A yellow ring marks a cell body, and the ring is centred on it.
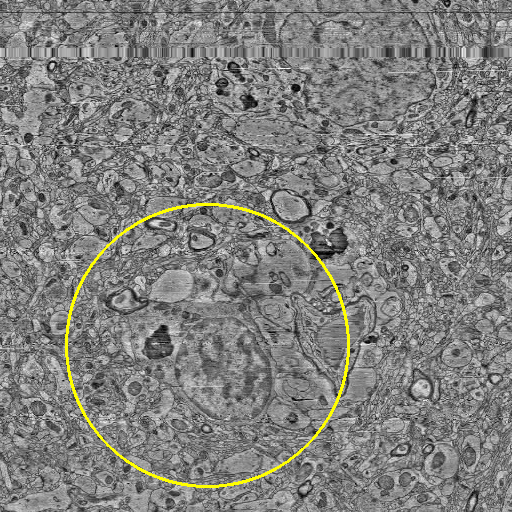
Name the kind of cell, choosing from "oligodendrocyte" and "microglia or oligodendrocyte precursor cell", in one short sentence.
The marked cell body belongs to an oligodendrocyte.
